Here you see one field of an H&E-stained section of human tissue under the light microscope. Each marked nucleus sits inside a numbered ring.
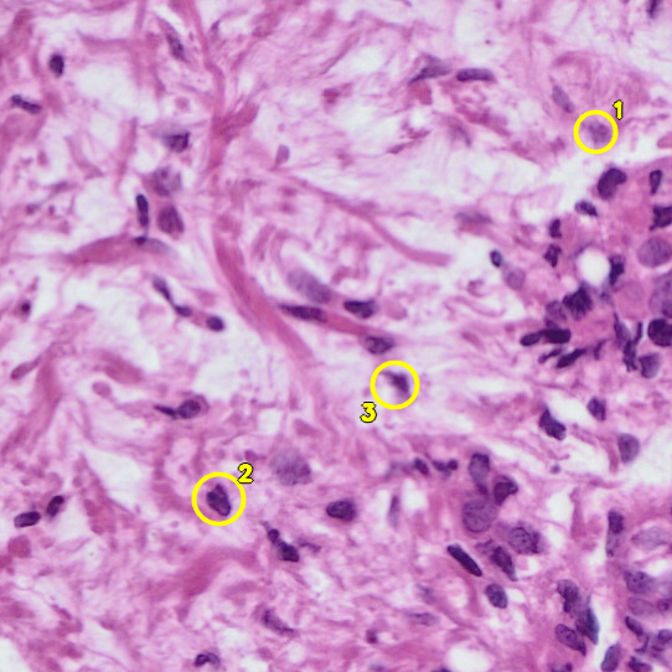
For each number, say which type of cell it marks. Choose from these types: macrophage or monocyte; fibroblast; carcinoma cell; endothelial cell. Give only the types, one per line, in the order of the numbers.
fibroblast
macrophage or monocyte
fibroblast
